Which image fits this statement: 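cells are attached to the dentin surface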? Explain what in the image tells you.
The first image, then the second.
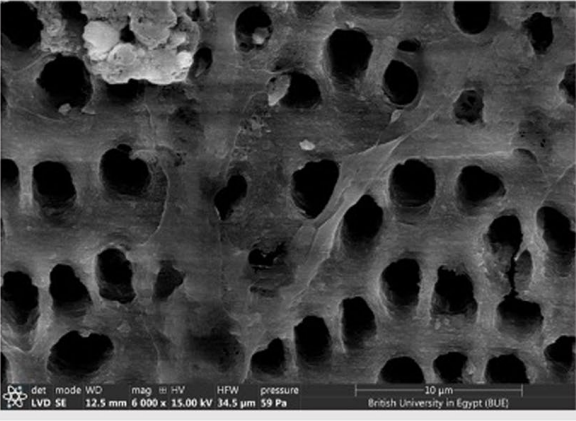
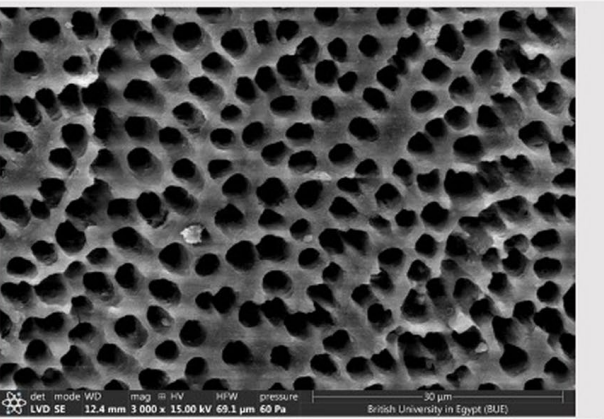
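First image: thin flattened cell material with spreading processes lies over the surface between the openings. Second image: the surface between the open tubules is bare, with no cell bodies on it. On this evidence: the first image.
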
